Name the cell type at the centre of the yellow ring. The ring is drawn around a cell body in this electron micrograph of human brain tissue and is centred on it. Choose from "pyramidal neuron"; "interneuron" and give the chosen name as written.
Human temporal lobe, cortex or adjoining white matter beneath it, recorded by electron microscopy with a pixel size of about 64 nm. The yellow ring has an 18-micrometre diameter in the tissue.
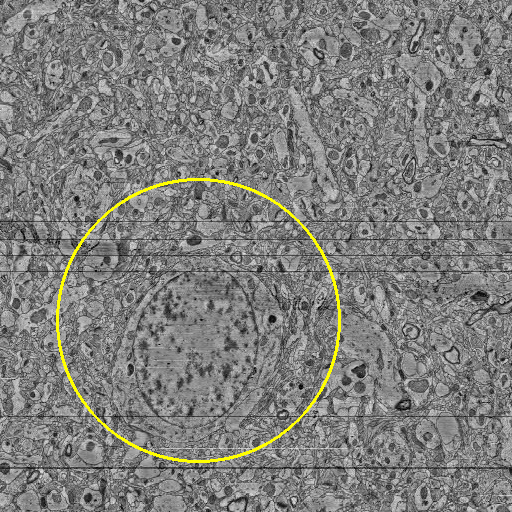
pyramidal neuron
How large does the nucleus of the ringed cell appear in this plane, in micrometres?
About 11 by 8 micrometers, in this plane.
